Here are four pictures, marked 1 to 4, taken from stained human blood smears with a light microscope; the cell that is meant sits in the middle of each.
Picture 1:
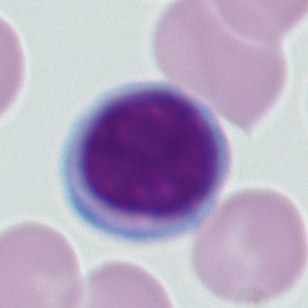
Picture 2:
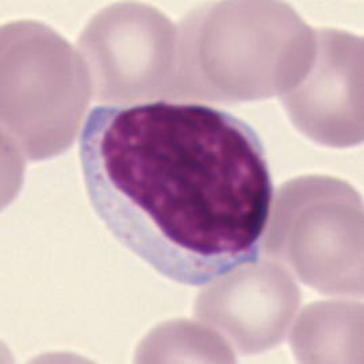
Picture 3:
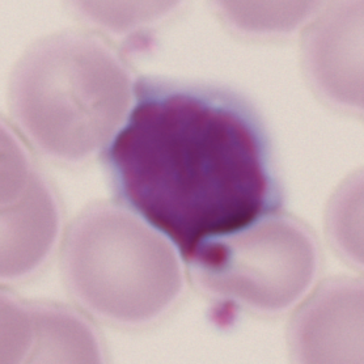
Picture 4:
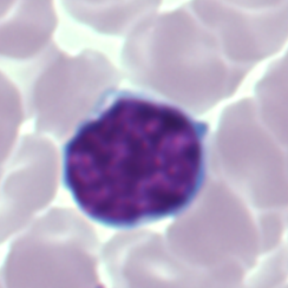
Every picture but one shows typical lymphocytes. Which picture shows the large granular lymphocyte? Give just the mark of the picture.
2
